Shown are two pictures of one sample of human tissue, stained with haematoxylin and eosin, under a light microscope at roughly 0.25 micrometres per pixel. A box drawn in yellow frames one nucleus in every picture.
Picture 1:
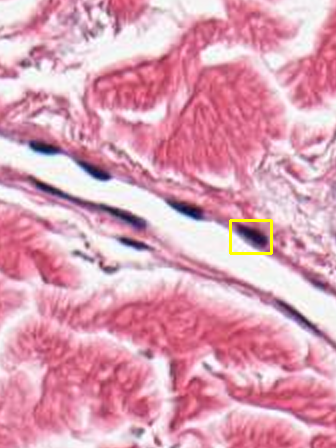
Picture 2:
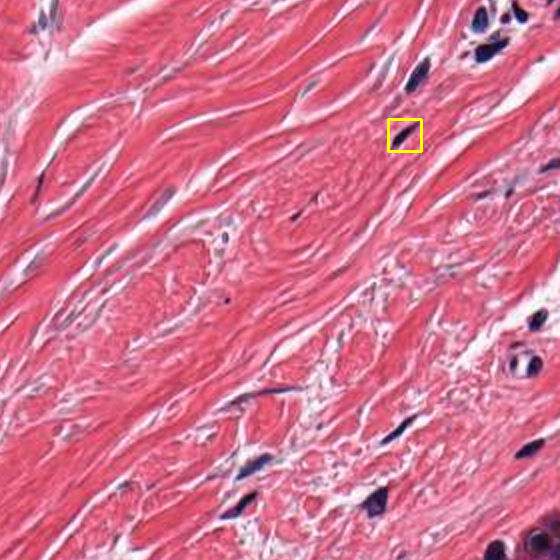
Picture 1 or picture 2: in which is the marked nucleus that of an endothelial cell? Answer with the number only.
1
